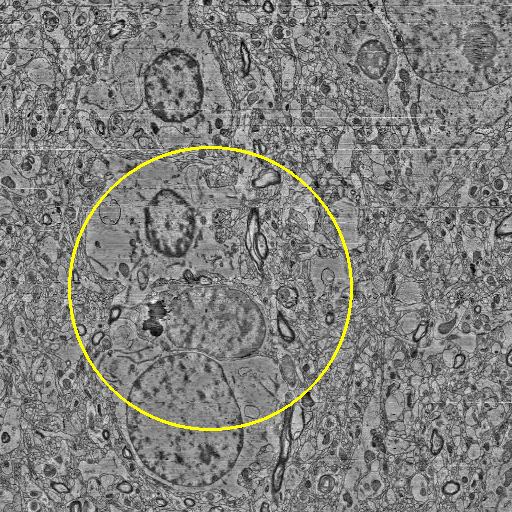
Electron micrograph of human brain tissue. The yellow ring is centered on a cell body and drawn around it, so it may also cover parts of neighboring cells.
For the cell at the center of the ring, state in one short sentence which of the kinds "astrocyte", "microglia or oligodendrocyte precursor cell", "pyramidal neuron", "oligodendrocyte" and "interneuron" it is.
This ring is centered on an oligodendrocyte.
